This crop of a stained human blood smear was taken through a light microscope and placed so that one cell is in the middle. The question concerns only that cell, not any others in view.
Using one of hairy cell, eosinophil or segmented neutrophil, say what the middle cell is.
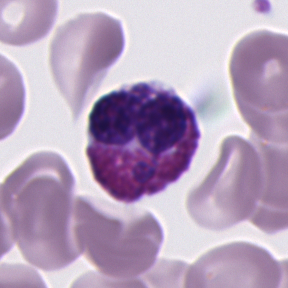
eosinophil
